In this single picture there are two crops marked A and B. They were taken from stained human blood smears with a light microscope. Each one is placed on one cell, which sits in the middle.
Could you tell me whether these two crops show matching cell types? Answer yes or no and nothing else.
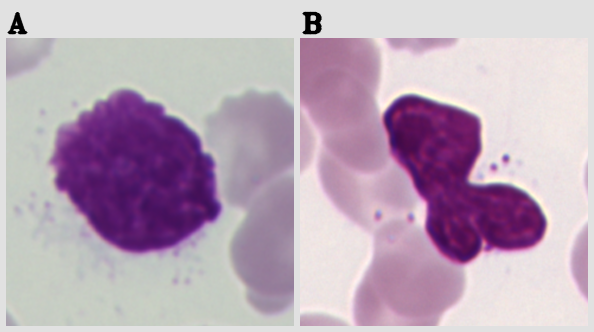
yes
